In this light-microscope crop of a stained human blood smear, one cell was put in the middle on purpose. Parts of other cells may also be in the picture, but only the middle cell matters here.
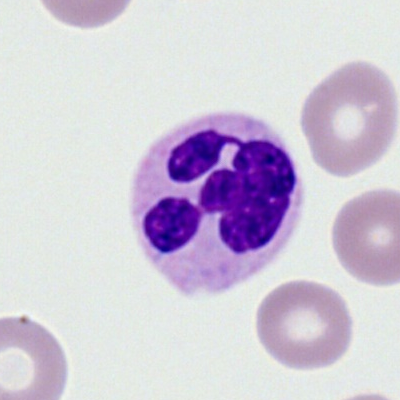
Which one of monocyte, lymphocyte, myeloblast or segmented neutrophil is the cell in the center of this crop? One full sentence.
The cell in the middle of this crop is a segmented neutrophil.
